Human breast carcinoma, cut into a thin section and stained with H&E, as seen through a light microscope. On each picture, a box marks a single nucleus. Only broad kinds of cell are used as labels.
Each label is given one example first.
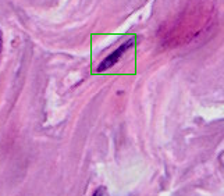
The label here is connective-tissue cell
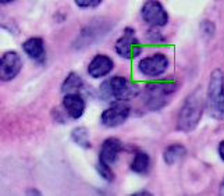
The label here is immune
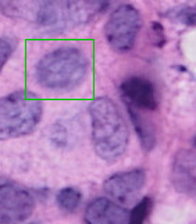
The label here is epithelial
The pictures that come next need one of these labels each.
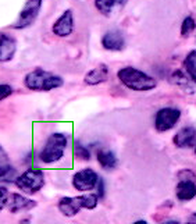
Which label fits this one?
immune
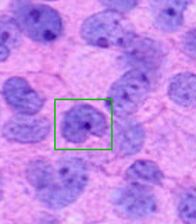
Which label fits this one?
epithelial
